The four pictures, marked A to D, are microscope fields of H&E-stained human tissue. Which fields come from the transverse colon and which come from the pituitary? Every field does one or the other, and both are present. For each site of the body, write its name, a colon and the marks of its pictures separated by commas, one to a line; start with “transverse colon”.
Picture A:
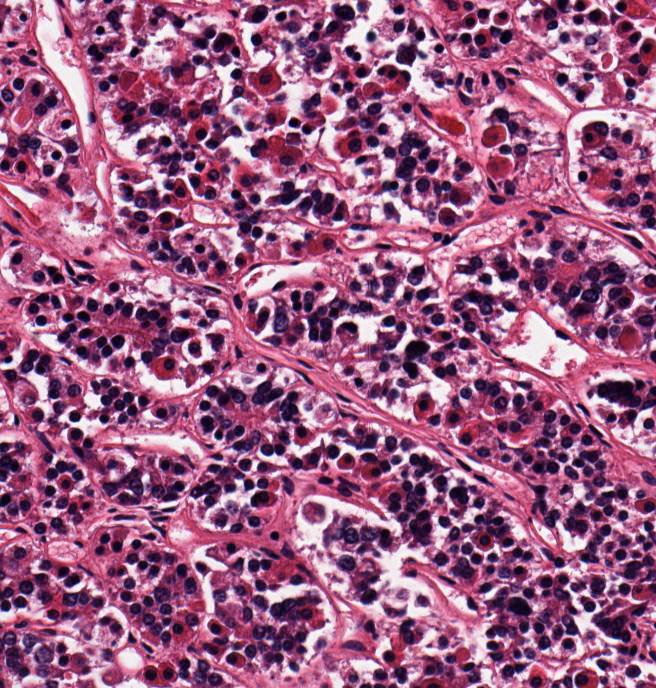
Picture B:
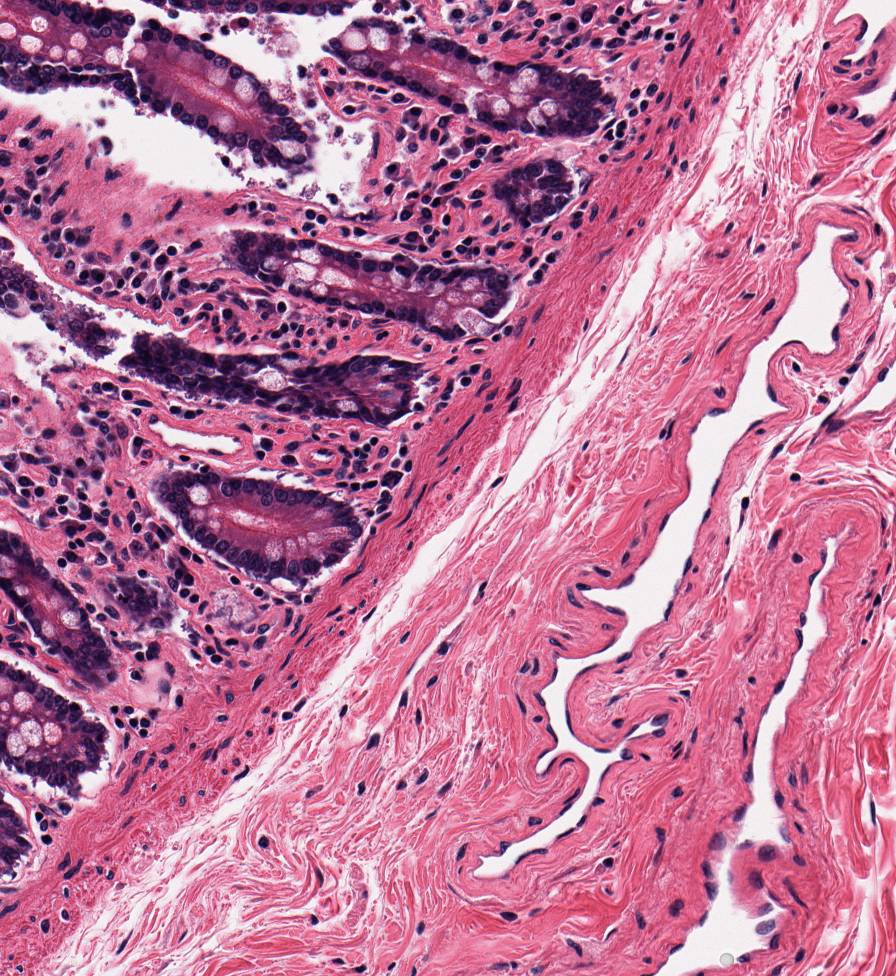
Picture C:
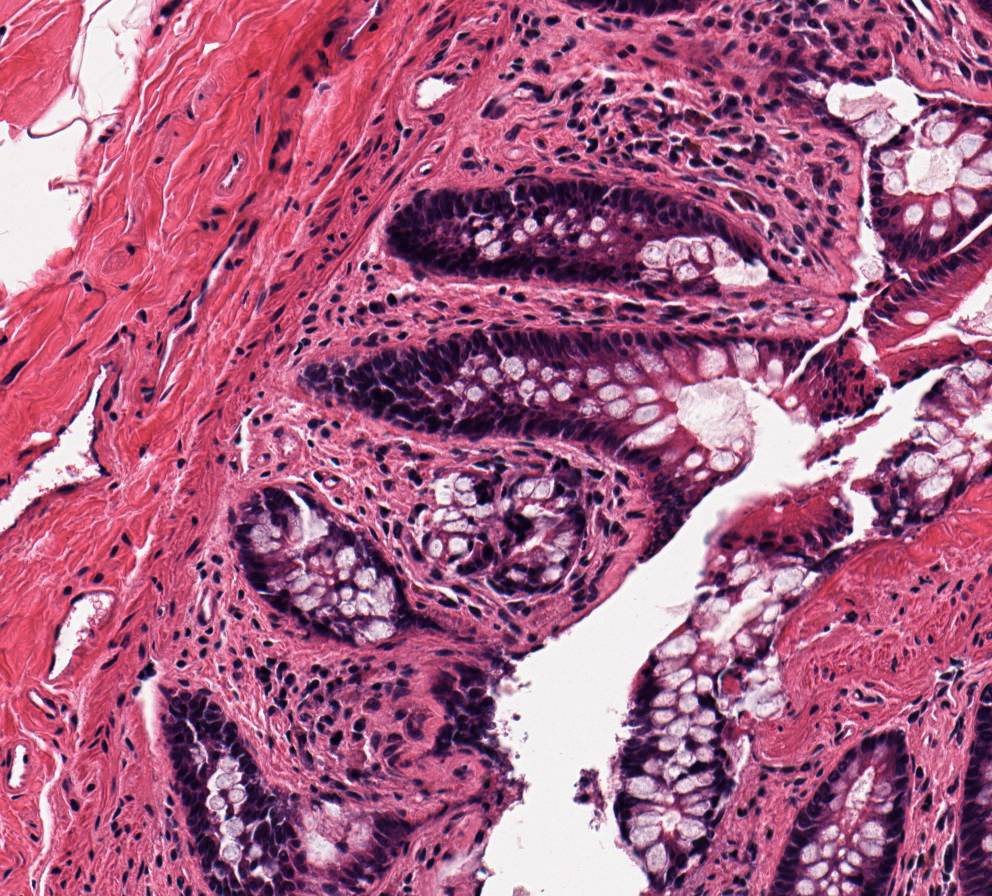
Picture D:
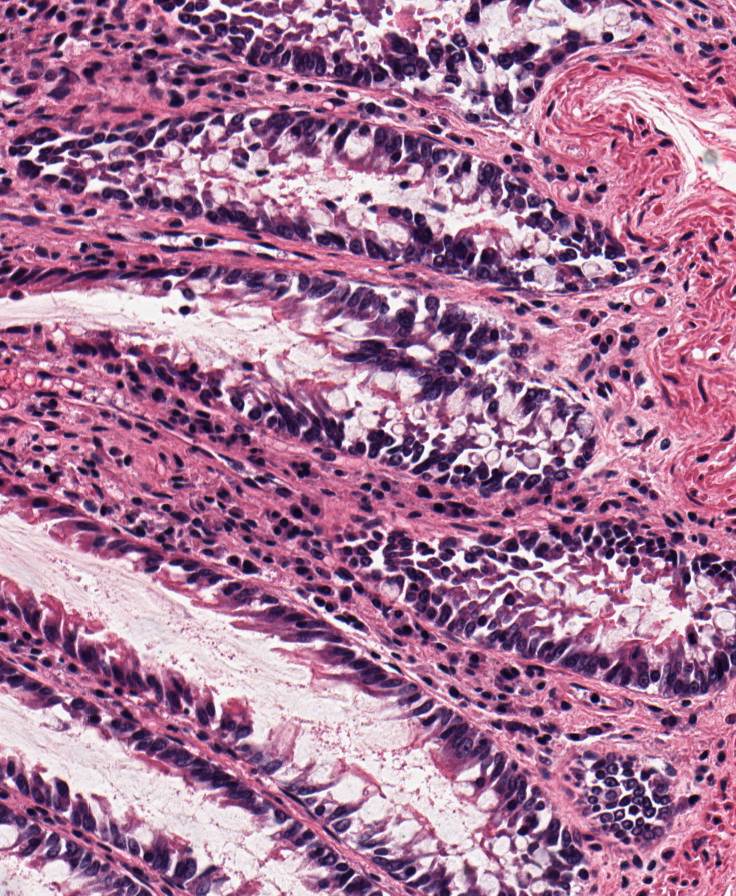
transverse colon: B, C, D
pituitary: A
